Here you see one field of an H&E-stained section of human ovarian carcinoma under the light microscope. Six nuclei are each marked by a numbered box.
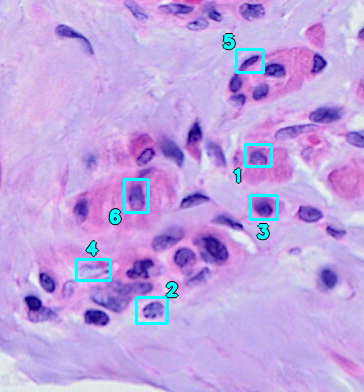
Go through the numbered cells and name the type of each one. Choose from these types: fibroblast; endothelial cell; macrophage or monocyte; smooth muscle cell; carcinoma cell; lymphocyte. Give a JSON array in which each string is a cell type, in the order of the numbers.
["smooth muscle cell", "lymphocyte", "smooth muscle cell", "endothelial cell", "smooth muscle cell", "smooth muscle cell"]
